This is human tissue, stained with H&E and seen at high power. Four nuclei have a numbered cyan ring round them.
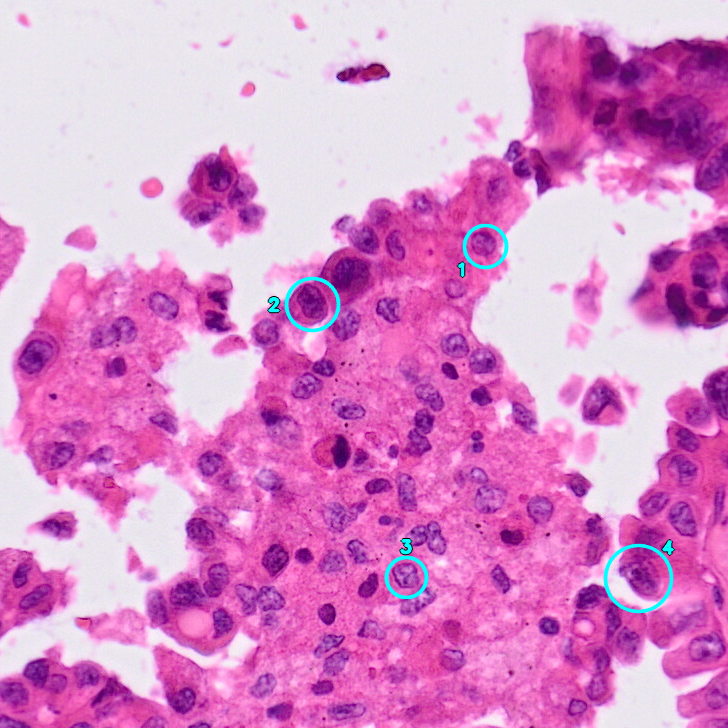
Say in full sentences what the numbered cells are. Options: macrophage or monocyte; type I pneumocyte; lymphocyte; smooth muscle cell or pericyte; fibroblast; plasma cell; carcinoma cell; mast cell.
Cells 1 and 3 are macrophages or monocytes. Cells 2 and 4 are carcinoma cells.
